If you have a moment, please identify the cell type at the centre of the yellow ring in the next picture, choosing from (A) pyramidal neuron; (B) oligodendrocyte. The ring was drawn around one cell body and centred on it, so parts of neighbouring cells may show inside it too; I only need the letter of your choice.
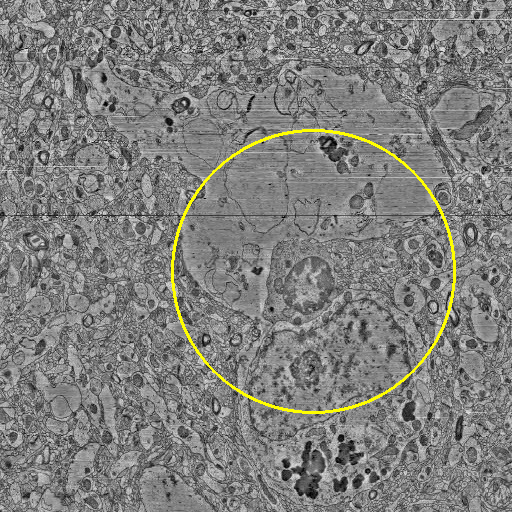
B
